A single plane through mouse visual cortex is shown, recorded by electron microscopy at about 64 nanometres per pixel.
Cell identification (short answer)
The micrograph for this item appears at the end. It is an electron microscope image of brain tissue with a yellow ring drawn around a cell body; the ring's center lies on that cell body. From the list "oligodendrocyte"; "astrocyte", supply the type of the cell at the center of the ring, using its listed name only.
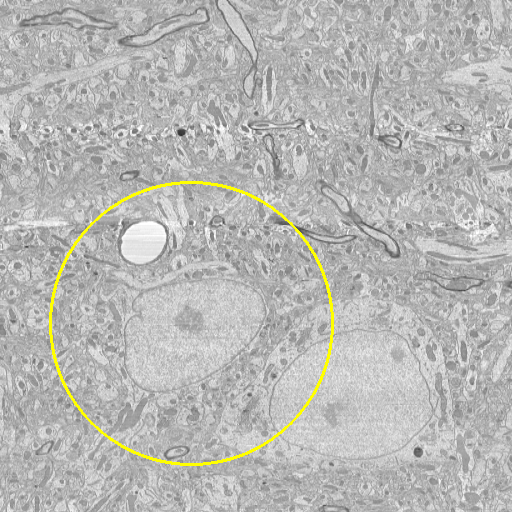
astrocyte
